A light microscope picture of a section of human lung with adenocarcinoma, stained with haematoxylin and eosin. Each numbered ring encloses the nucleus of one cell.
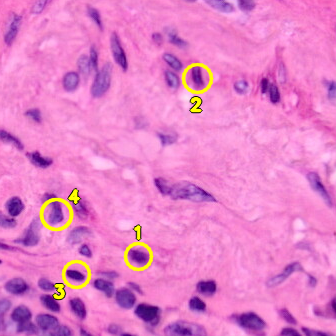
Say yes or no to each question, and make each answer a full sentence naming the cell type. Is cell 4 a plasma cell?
No, cell 4 should be read as a lymphocyte instead of a plasma cell.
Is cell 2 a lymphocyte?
No, cell 2 is not a lymphocyte at all but a smooth muscle cell or pericyte.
